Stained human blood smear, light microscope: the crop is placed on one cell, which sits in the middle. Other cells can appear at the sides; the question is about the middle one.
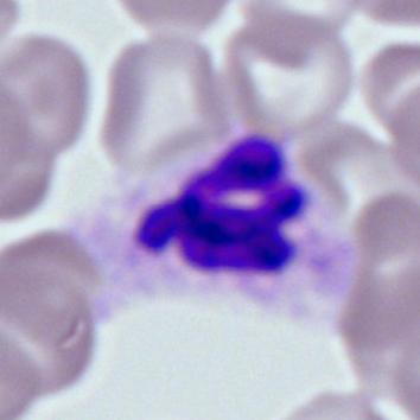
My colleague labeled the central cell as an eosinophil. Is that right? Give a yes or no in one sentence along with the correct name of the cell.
No, the cell in the middle of the crop counts as a segmented neutrophil and not as an eosinophil.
